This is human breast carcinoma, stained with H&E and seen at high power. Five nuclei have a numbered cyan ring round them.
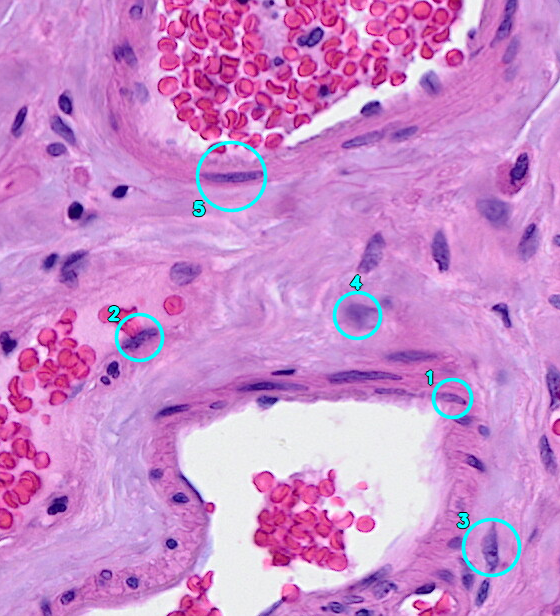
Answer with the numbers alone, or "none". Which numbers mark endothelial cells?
1, 2, 5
